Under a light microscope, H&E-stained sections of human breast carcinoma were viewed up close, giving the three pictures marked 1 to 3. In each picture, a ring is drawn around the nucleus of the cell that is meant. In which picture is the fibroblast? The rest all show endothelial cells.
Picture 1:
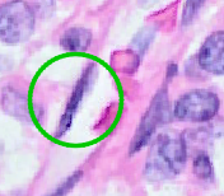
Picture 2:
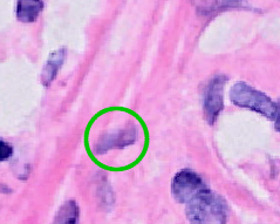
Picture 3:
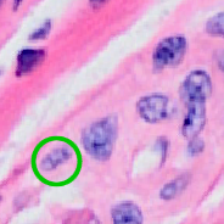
2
